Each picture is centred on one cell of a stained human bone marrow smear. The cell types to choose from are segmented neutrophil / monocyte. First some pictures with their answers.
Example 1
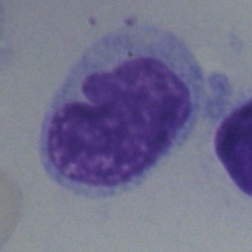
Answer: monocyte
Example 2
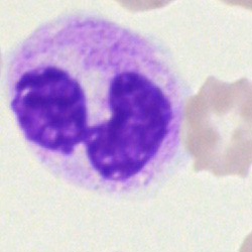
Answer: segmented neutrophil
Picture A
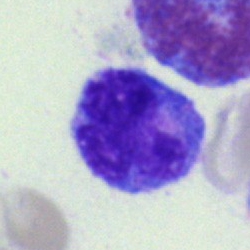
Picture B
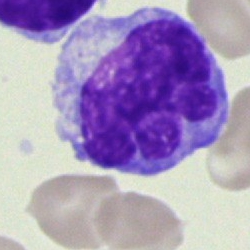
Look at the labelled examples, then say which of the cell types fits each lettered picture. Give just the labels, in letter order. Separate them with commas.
monocyte, monocyte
